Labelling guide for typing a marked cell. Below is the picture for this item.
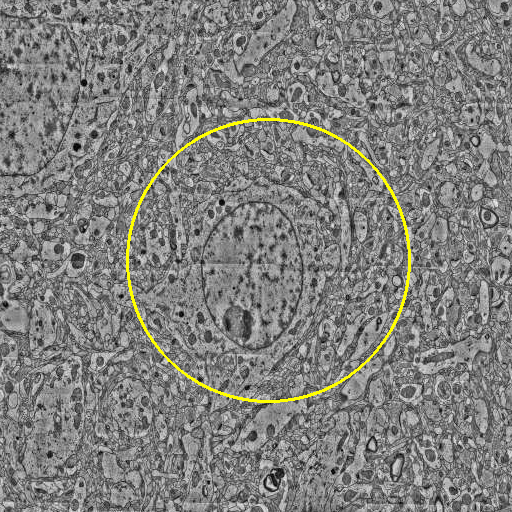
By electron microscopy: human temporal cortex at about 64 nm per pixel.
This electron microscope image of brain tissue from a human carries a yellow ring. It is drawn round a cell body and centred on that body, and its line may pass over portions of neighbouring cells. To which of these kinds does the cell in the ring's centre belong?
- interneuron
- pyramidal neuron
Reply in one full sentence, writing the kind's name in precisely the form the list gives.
Here we have a pyramidal neuron at the centre of the yellow ring in the picture.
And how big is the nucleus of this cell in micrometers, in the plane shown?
The ringed cell's nucleus is about 10 micrometres long and 7 micrometres wide in this plane.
